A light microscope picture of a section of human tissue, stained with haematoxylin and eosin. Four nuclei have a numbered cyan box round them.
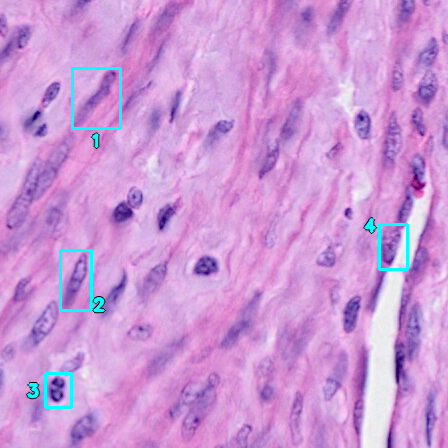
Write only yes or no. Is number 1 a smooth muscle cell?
yes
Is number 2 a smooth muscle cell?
yes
